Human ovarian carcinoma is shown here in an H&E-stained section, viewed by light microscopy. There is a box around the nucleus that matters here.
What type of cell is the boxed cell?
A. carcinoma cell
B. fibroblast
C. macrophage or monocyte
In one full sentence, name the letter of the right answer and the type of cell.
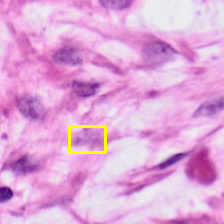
With the boxed cell being a fibroblast, option B is correct.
